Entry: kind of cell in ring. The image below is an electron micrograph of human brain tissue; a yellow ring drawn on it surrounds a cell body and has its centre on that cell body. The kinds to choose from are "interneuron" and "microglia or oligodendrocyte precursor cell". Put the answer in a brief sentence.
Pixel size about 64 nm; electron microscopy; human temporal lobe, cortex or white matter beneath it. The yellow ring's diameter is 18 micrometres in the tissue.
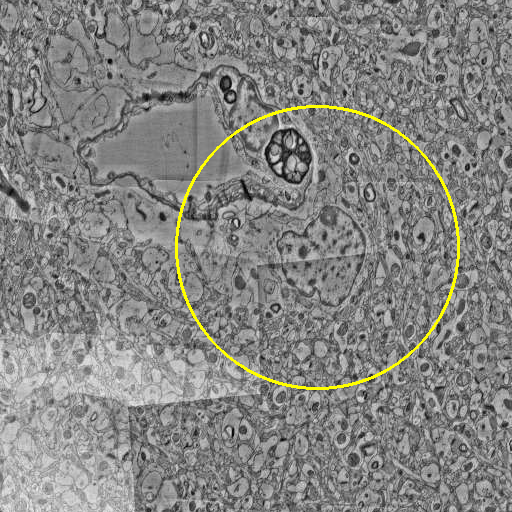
The ring has been drawn around a microglial cell or oligodendrocyte precursor cell.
